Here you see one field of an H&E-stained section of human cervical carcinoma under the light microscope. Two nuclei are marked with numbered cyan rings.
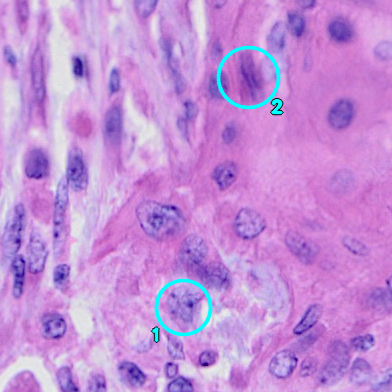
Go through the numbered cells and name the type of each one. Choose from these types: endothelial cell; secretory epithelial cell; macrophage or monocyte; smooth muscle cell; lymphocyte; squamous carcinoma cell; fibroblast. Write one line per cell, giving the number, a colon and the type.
1: fibroblast
2: squamous carcinoma cell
